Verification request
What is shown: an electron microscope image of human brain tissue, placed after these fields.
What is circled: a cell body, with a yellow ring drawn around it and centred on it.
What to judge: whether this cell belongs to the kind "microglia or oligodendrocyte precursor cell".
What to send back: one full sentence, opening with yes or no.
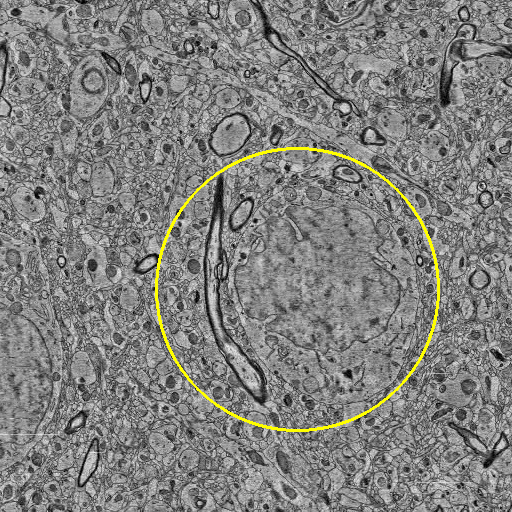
No, the cell on which the yellow ring is centred in the picture is of a different kind.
